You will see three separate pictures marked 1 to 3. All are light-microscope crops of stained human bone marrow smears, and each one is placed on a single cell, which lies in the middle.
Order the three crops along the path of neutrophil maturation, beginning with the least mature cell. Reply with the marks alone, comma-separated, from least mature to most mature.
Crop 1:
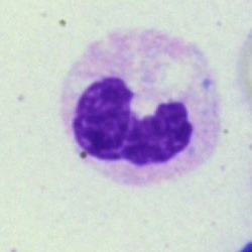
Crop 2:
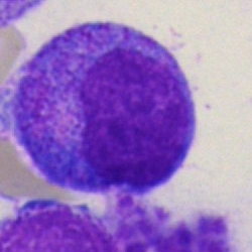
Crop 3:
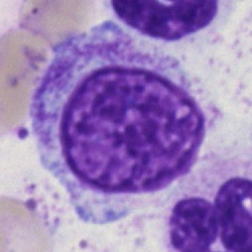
2, 3, 1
